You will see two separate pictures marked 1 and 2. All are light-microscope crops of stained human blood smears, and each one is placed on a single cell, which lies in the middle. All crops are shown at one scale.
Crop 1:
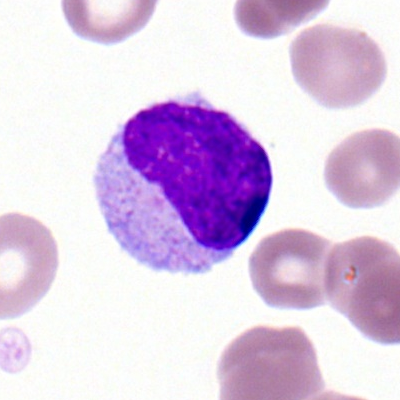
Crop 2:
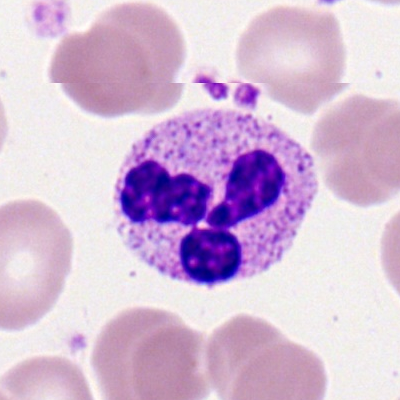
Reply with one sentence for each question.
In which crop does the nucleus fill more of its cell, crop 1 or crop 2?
In crop 1 the nucleus takes up the larger part of its cell.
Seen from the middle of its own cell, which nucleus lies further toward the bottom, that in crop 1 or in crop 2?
Seen within its cell, the nucleus in crop 2 lies further toward the bottom.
